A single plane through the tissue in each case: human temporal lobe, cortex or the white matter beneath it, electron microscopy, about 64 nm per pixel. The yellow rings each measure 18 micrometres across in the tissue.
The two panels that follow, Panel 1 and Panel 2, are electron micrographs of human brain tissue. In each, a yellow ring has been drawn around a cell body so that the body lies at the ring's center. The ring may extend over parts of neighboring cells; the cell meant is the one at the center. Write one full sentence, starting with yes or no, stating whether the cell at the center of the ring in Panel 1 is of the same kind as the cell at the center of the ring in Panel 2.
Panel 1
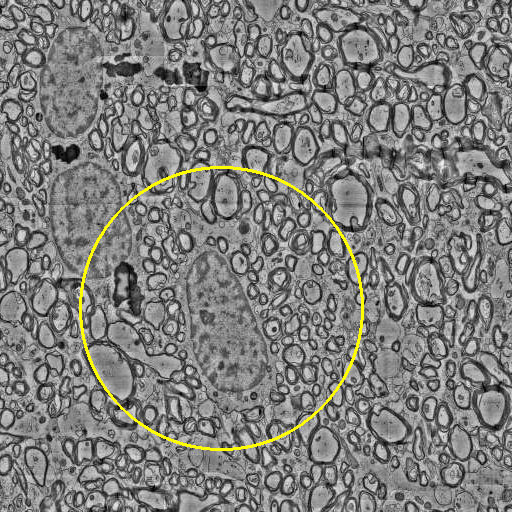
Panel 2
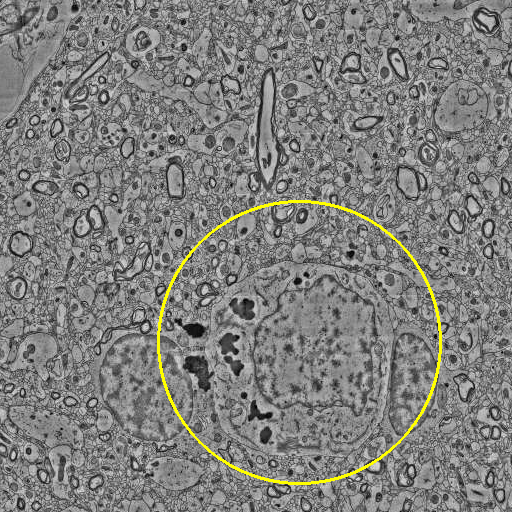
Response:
No, the cells in the two panels are of two kinds.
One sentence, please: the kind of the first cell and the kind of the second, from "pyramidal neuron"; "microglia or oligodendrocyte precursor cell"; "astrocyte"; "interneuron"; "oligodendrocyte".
The ring in the first picture surrounds an oligodendrocyte, and the ring in the second surrounds an interneuron.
